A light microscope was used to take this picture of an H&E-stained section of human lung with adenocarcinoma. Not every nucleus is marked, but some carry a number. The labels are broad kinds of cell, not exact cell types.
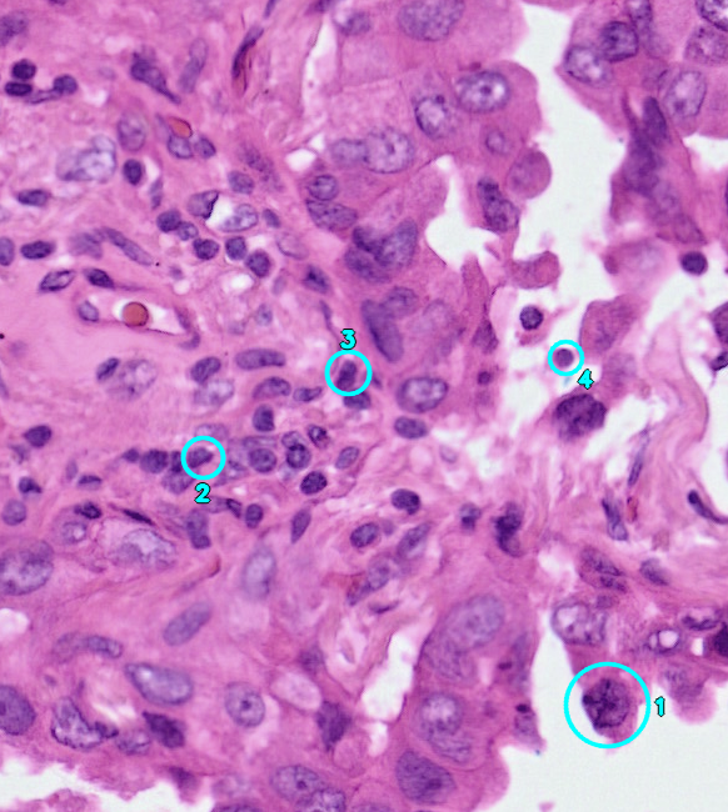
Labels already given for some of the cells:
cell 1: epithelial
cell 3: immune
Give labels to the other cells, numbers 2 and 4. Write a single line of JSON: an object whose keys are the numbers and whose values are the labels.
{"2": "immune", "4": "immune"}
